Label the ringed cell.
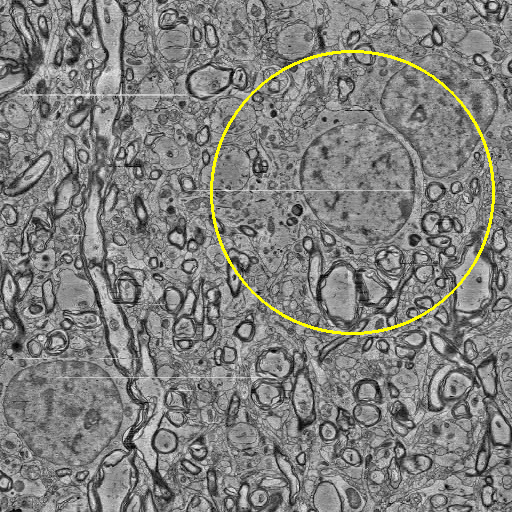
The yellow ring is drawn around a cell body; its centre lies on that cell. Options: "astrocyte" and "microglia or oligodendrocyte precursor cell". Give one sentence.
The ringed cell is a microglial cell or oligodendrocyte precursor cell.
